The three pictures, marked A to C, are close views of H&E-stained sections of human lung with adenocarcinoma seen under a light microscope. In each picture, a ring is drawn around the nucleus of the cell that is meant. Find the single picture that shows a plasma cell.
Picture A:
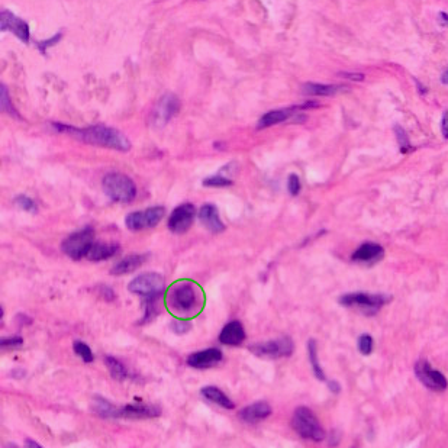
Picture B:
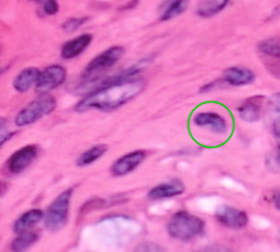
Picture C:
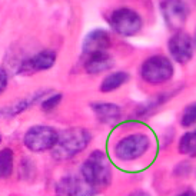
A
